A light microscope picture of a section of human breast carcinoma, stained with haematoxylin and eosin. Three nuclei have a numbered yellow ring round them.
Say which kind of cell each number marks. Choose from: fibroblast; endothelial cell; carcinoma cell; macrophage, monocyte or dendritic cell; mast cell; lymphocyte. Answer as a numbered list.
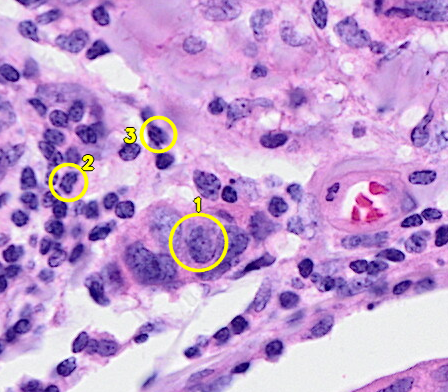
1. carcinoma cell
2. lymphocyte
3. lymphocyte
